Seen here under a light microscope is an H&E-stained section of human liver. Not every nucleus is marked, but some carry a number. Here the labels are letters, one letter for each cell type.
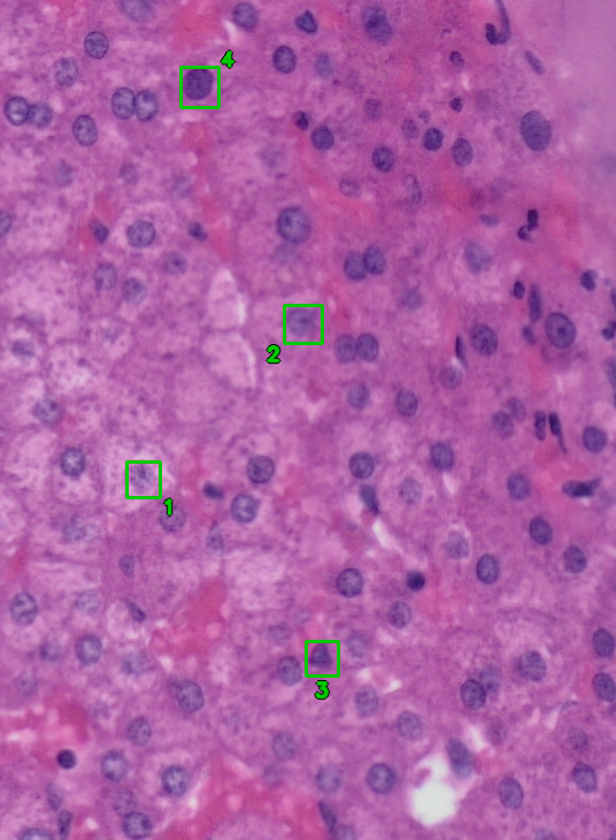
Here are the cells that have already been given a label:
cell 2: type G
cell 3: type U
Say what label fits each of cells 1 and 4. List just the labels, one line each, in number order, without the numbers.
type G
type G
